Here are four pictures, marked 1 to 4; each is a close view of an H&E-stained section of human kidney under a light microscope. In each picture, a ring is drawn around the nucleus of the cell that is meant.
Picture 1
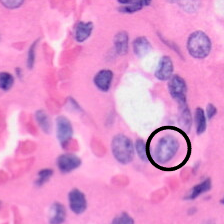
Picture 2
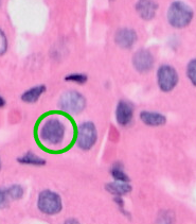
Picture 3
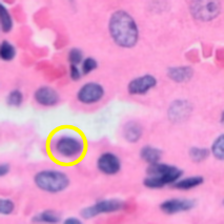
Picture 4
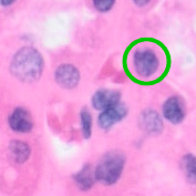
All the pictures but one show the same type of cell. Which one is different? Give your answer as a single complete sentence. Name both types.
Picture 1 is the odd one out: it shows a collecting duct cell, while the others show “loop of Henle or distal tubule cells”.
